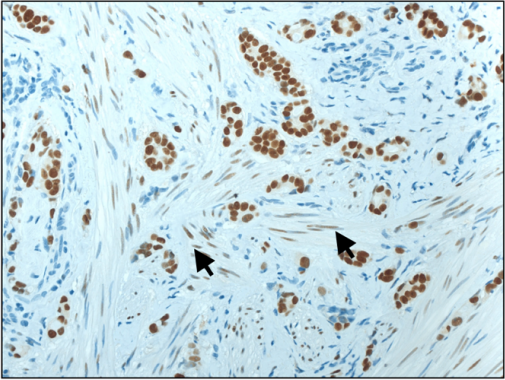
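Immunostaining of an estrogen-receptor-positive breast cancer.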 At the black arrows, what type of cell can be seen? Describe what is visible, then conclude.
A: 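The arrows point into the fibrous tissue between the cell nests, not into the nests. The cells there have thin, elongated, spindle-shaped nuclei. Some of these spindle-shaped nuclei are stained brown.
Stromal fibroblasts.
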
